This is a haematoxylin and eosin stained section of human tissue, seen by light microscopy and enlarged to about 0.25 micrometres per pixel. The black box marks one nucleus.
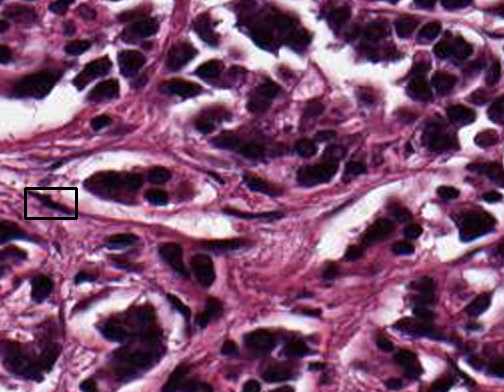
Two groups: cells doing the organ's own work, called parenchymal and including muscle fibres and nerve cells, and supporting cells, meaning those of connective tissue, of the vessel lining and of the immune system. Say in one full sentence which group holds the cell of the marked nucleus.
The marked nucleus is designated as the nucleus of a supporting cell.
